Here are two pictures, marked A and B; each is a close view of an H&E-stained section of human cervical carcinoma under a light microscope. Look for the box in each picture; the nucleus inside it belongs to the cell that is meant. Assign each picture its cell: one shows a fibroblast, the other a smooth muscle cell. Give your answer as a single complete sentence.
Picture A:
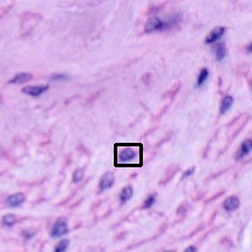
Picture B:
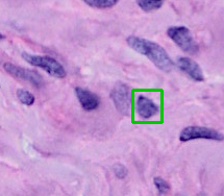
The cell in picture A is a smooth muscle cell, and the one in picture B is a fibroblast.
